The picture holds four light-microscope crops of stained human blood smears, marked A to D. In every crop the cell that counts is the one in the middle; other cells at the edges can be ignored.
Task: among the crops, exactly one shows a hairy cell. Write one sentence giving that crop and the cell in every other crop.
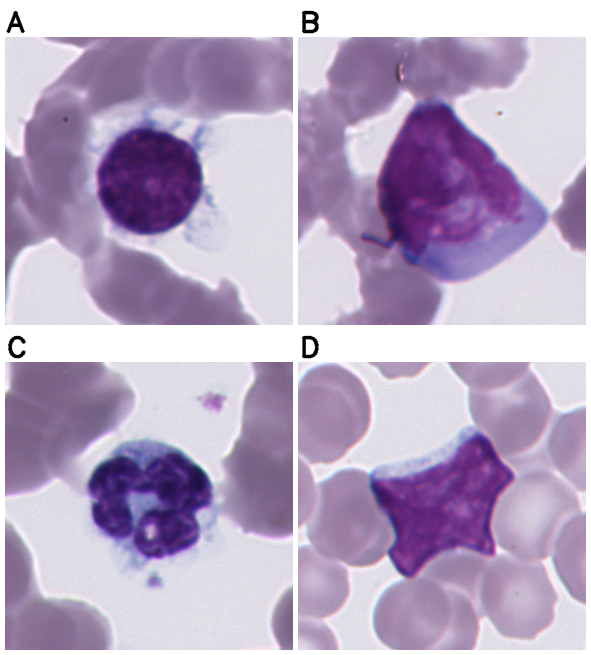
Crop A has a hairy cell as its central cell, while crop B is a blast, crop C is a monocyte and crop D is a typical lymphocyte.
